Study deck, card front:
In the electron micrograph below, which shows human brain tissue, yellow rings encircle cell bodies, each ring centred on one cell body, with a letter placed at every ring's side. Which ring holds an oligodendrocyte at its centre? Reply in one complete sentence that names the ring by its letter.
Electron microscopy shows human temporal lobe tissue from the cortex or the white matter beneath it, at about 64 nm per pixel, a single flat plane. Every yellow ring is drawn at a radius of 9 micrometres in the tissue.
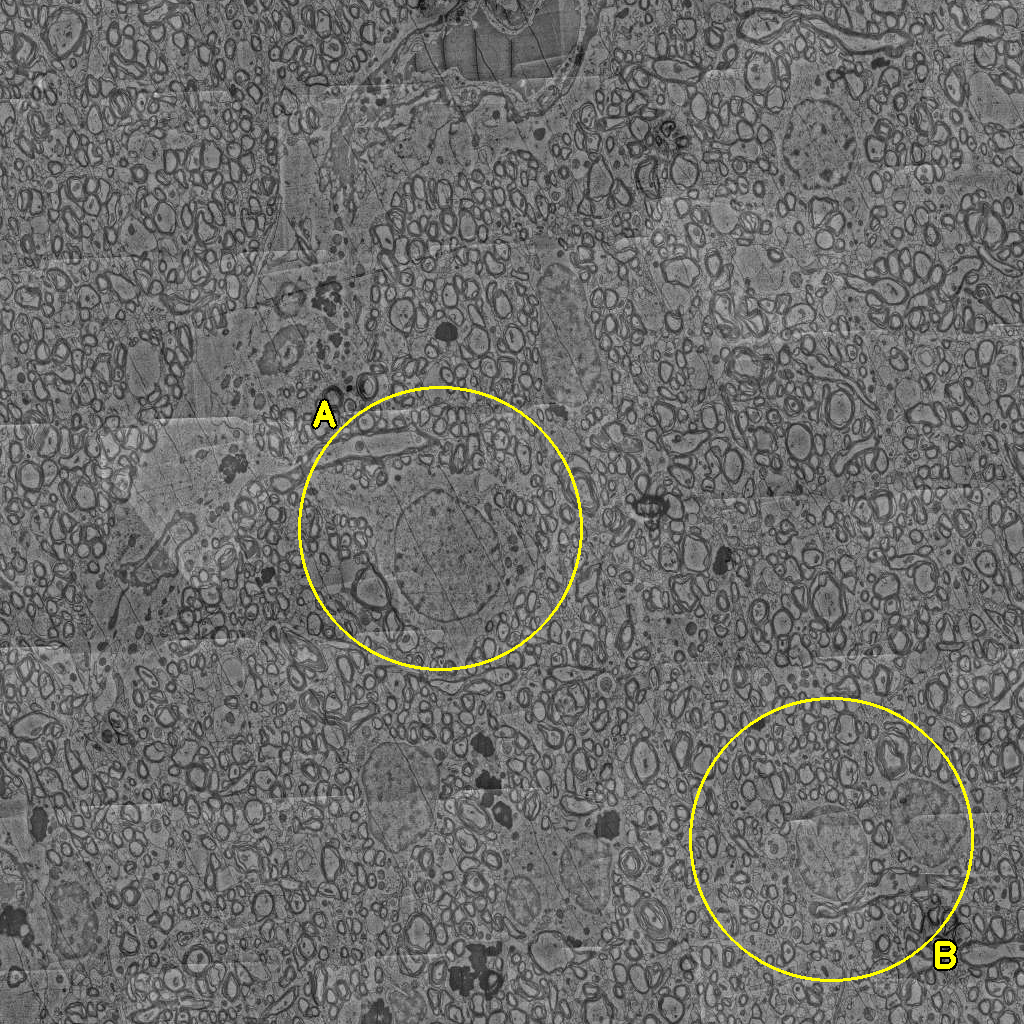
The cell asked for sits at the centre of ring B in the picture.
